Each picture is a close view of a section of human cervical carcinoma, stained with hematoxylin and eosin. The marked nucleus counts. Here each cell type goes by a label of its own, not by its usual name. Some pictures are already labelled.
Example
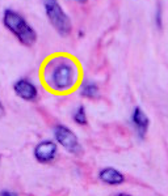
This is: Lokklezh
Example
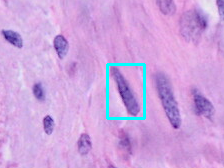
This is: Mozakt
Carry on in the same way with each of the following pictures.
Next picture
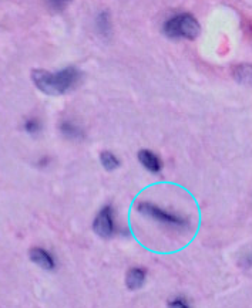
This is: Mozakt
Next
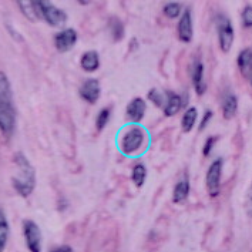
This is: Lokklezh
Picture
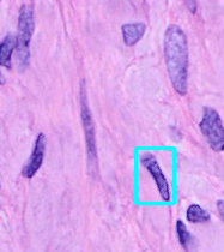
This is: Mozakt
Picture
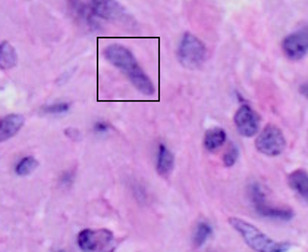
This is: Mozakt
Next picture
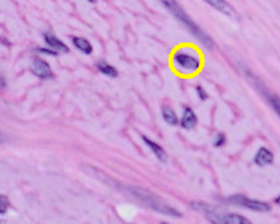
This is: Lokklezh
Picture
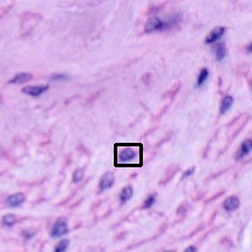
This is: Lokklezh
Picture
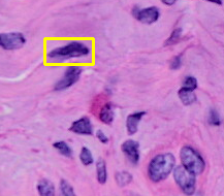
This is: Mozakt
